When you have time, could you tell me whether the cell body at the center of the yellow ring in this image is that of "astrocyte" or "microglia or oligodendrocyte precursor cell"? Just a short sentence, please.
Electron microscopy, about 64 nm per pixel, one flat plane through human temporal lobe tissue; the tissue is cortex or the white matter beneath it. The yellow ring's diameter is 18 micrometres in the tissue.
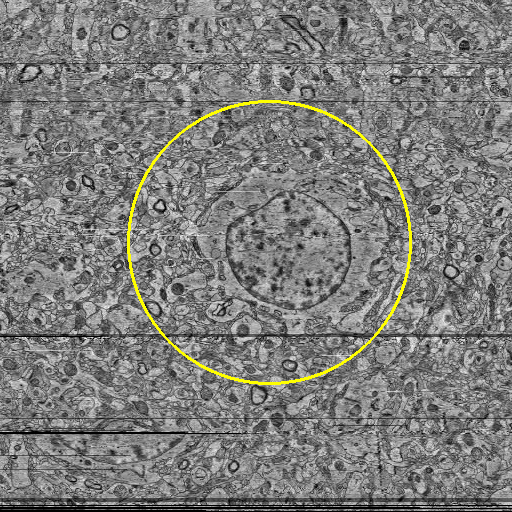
The cell body at the center of the ring is that of an astrocyte.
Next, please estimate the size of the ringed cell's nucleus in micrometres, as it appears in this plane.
The nucleus is about 8 micrometres across in this plane.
